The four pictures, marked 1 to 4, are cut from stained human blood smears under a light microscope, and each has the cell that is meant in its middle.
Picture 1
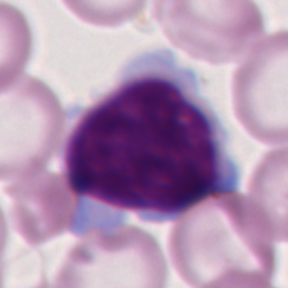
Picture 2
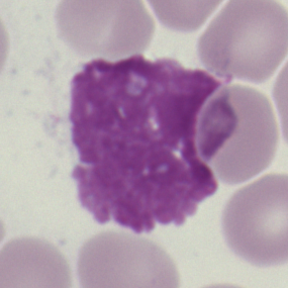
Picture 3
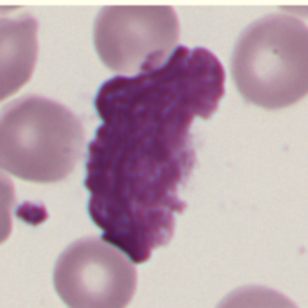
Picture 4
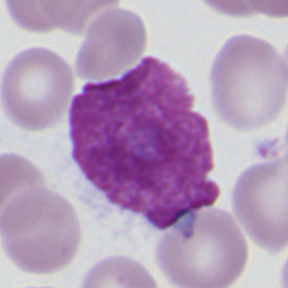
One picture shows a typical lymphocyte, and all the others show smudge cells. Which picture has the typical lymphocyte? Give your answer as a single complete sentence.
It is picture 1 that shows the typical lymphocyte.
